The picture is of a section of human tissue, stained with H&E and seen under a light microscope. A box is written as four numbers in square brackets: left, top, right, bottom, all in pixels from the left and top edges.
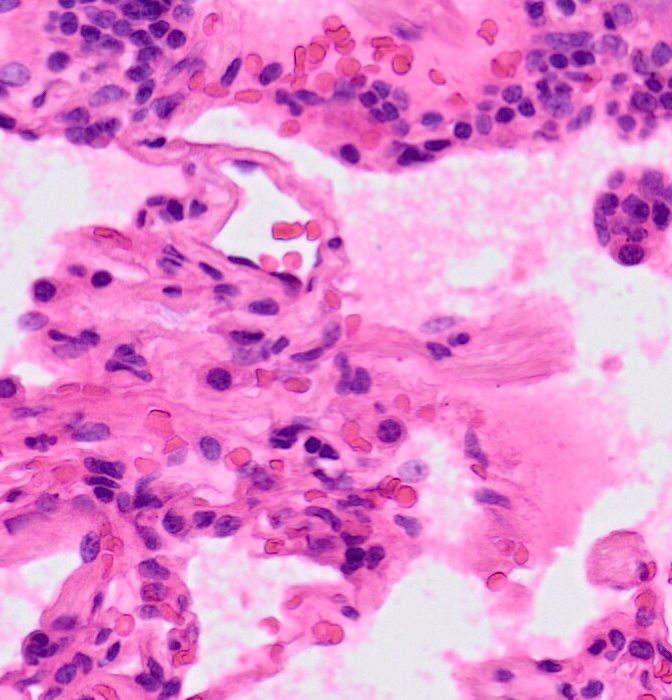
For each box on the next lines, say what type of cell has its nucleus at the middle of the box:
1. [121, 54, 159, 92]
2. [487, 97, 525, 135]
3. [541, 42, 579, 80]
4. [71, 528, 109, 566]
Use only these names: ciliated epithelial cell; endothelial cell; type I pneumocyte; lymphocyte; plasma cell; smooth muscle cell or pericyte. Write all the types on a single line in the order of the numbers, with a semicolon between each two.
lymphocyte; lymphocyte; lymphocyte; type I pneumocyte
